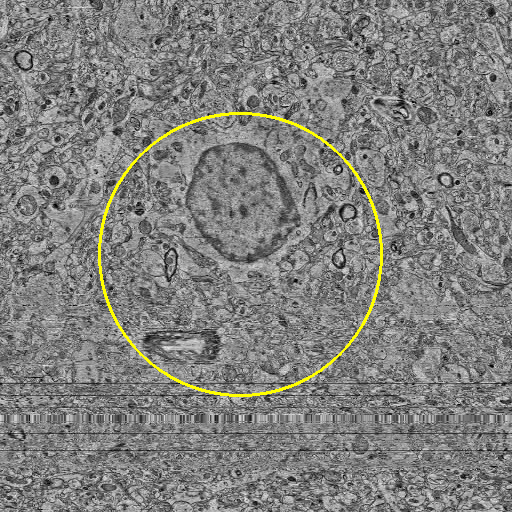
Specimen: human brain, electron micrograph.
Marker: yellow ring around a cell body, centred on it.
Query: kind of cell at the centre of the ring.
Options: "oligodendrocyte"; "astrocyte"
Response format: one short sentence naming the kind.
This cell body belongs to an astrocyte.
